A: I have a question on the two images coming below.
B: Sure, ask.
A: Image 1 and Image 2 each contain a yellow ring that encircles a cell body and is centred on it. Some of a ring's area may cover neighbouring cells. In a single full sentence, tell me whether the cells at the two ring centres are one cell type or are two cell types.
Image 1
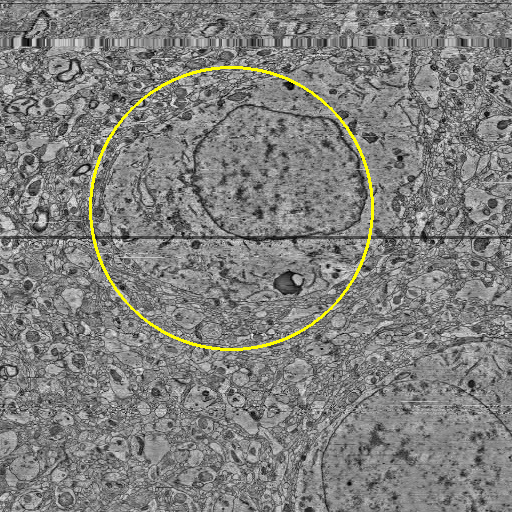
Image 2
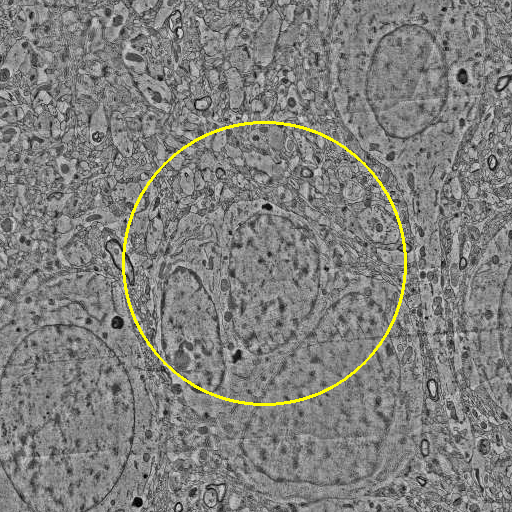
As for the ring-centre cells, the one in Image 1 and the one in Image 2 are two cell types.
